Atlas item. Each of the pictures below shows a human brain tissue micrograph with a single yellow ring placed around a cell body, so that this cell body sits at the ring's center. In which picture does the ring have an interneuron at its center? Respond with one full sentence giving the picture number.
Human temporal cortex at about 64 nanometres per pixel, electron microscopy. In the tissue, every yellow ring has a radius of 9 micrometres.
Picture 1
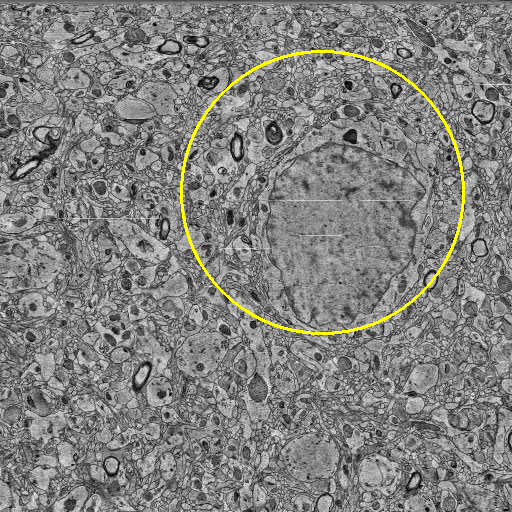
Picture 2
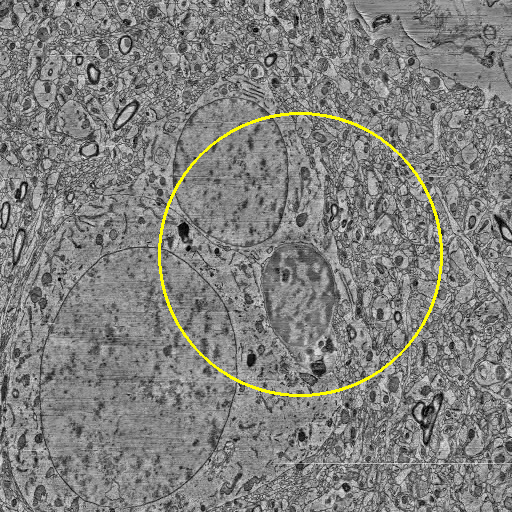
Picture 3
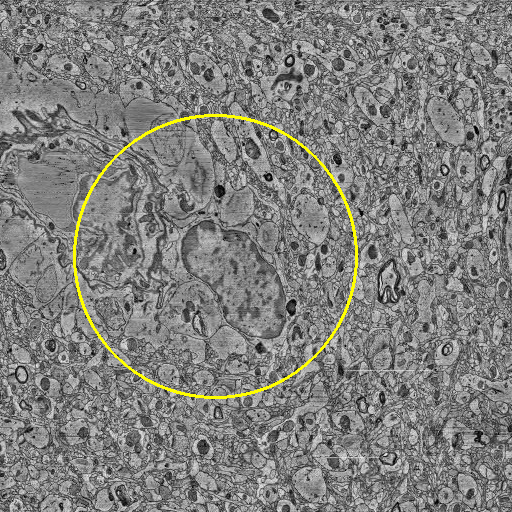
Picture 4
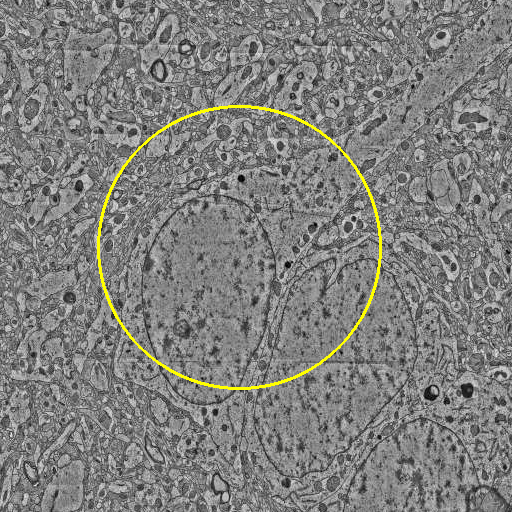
The cell at the ring's center that fits lies in picture 1.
